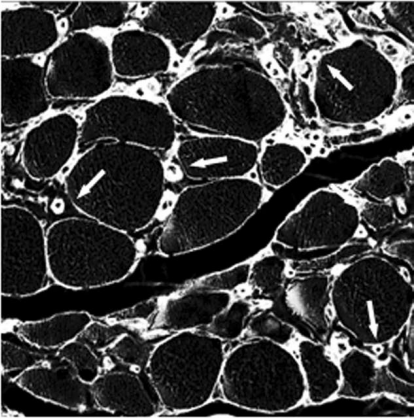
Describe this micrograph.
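Skeletal muscle in cross-section, with myofibers appearing as black rounded profiles of varied size. Numerous small ring-shaped microvessel profiles lie within this bright interstitial tissue.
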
